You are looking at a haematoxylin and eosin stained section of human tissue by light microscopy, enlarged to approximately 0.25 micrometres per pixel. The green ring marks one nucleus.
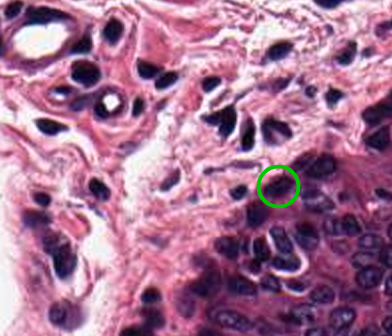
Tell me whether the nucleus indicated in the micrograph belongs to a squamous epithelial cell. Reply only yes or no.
yes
